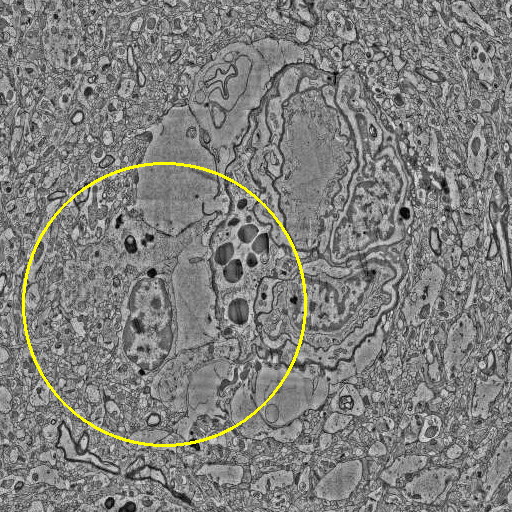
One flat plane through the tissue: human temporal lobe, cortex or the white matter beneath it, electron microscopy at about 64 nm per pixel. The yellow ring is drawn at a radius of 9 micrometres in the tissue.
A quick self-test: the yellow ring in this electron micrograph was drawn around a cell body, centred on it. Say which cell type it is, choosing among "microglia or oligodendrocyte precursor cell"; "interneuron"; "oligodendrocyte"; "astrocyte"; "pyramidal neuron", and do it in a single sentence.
The yellow-ringed cell is a microglial cell or oligodendrocyte precursor cell.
